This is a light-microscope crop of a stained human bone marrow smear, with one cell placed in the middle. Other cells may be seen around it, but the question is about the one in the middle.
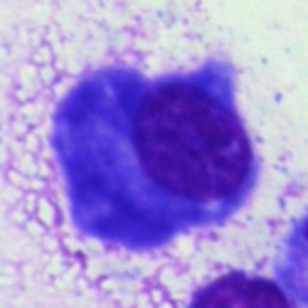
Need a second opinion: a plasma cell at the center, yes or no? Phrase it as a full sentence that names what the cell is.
Yes, the middle cell is properly termed a plasma cell.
